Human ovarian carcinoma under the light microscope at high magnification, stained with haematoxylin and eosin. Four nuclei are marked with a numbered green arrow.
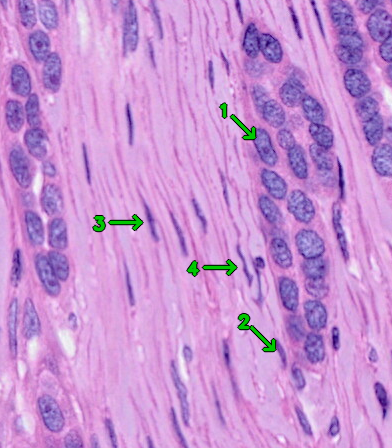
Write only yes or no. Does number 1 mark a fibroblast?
no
